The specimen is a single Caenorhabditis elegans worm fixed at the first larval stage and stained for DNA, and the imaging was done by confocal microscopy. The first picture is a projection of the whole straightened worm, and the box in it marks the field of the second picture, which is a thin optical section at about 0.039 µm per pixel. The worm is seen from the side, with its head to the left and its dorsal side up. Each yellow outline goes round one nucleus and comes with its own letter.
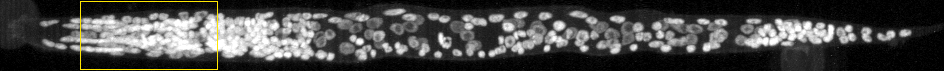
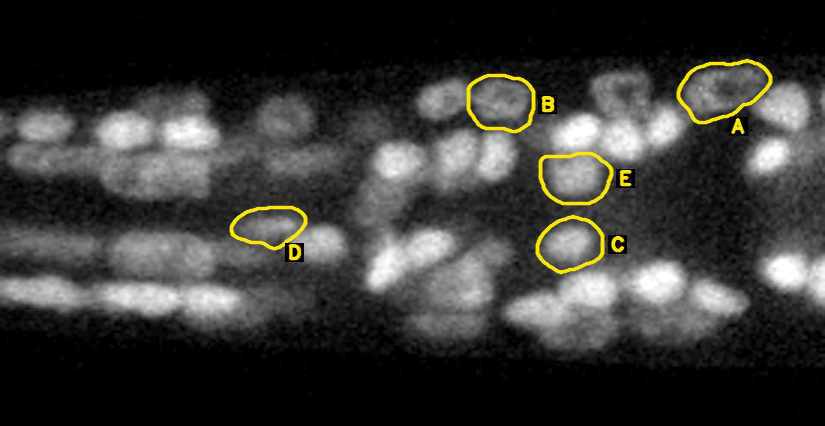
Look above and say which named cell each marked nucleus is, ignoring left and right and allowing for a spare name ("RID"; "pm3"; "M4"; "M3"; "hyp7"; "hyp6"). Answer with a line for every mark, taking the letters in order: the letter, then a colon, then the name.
A: hyp7
B: hyp6
C: M3
D: pm3
E: M4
